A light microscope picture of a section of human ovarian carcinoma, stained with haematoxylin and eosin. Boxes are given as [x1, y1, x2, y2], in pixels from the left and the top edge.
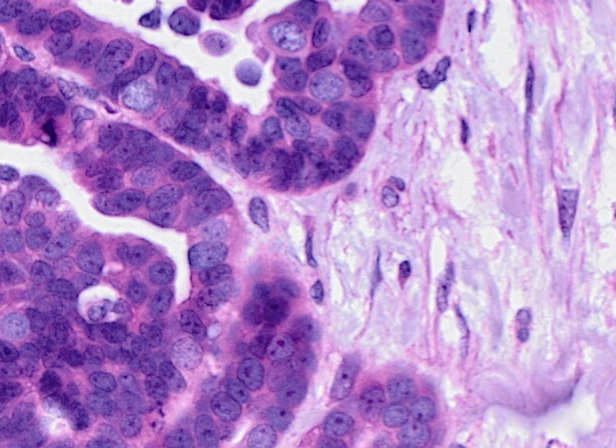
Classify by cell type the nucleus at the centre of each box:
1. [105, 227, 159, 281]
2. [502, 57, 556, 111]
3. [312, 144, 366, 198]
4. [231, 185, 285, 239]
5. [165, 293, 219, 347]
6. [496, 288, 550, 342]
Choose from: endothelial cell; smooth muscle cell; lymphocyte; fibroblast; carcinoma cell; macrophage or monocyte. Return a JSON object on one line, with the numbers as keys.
{"1": "carcinoma cell", "2": "fibroblast", "3": "carcinoma cell", "4": "macrophage or monocyte", "5": "carcinoma cell", "6": "macrophage or monocyte"}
